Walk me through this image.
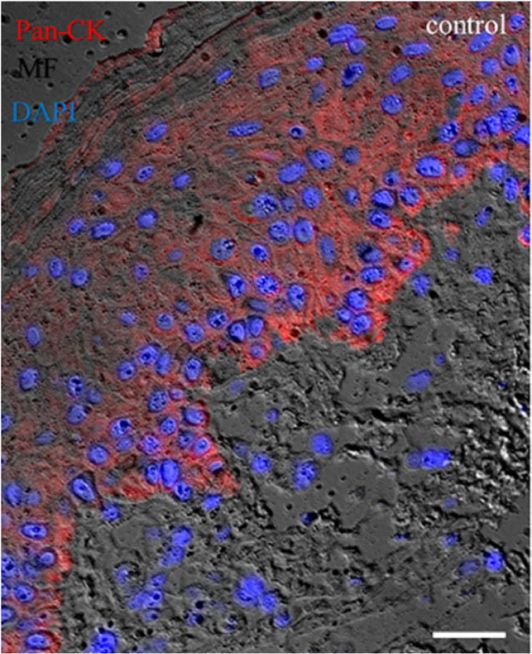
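This is the epidermis of skin, a thick stratified layer of keratinocytes with red cytoplasm and round to oval blue nuclei. The cells are polygonal and closely packed, and the layer meets the paler dermis below along an irregular border. Black deposits around the nuclei are scarcely seen.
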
